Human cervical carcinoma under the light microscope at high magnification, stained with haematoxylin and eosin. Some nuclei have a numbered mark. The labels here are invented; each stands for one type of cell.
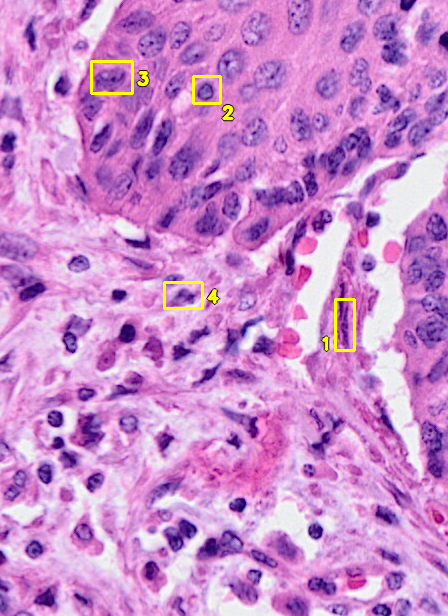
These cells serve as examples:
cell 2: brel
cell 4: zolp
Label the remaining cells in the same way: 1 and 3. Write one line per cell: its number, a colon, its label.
1: zolp
3: brel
